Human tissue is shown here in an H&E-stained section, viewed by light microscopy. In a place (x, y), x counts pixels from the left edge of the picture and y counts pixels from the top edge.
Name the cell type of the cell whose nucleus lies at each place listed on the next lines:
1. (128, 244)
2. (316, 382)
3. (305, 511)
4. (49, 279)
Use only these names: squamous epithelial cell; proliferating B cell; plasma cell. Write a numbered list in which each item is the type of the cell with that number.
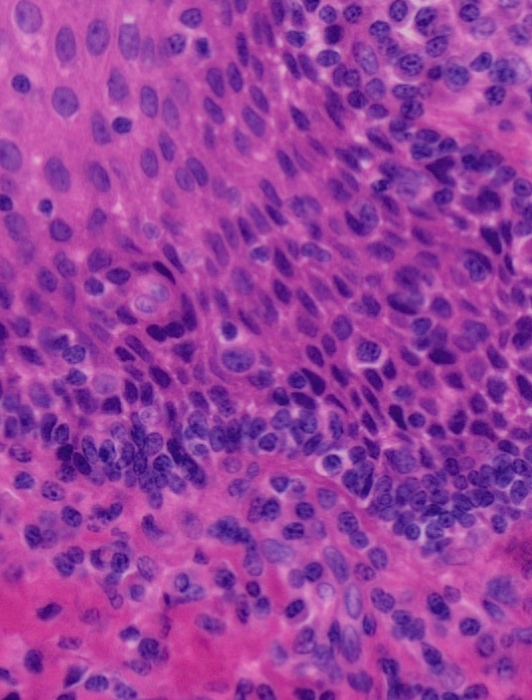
1. squamous epithelial cell
2. squamous epithelial cell
3. plasma cell
4. squamous epithelial cell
